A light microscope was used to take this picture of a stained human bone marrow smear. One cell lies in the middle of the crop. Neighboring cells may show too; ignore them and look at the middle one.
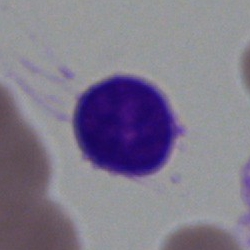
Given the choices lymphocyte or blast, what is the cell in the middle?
lymphocyte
